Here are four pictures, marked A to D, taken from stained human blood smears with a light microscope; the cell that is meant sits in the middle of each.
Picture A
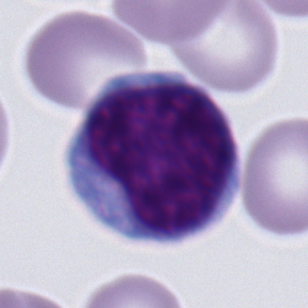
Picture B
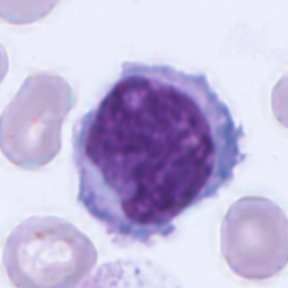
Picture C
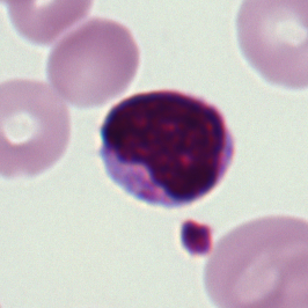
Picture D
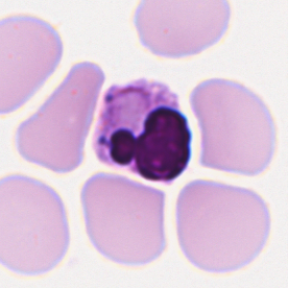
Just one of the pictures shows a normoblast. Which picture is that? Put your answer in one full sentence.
Picture D shows the normoblast.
